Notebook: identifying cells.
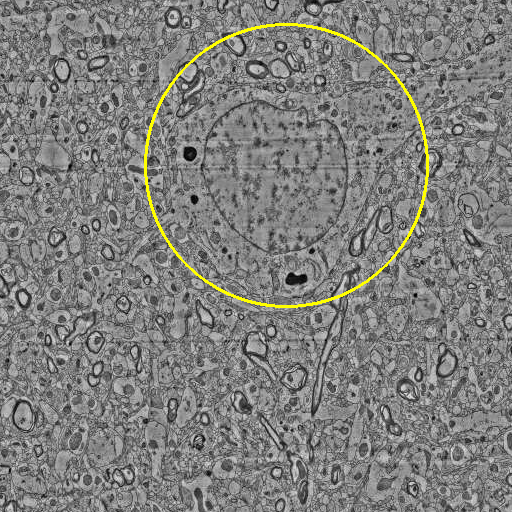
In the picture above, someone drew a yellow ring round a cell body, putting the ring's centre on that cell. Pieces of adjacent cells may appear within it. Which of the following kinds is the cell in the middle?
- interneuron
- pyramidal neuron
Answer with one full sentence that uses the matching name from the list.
In this picture, the yellow ring is centred on the body of a pyramidal neuron.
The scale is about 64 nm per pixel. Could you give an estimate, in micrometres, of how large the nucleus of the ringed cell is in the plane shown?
The nucleus is about 10 micrometres across in this plane.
